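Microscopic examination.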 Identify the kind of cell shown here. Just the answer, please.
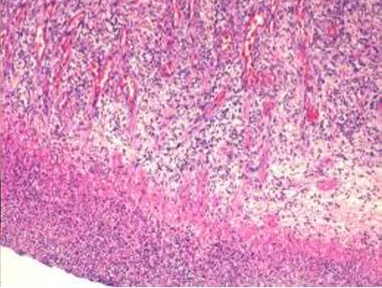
inflammatory cells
